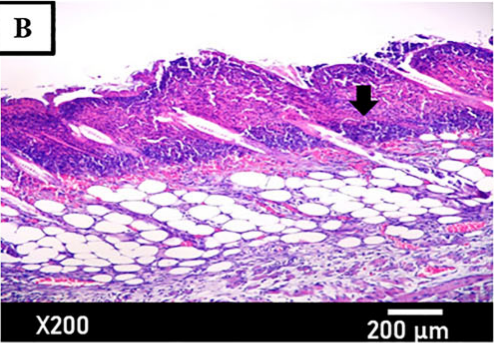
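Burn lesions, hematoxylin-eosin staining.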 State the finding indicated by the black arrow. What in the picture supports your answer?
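Dense band of small dark purple nuclei crowds the upper dermis at the arrow. The cellular band lies beneath a pink, disrupted surface. That points to this answer: acute inflammatory infiltrate.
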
